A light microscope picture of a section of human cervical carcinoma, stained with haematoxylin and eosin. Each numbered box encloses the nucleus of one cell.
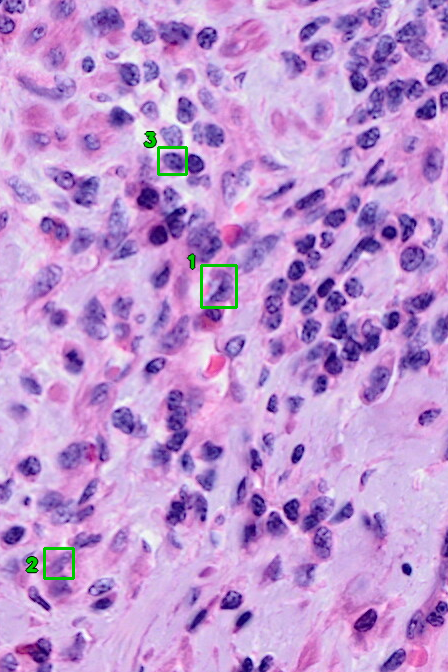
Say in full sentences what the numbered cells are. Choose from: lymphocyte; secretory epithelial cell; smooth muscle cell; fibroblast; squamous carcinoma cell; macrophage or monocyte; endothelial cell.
Cells 1 and 2 are endothelial cells. Cell 3 is a lymphocyte.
